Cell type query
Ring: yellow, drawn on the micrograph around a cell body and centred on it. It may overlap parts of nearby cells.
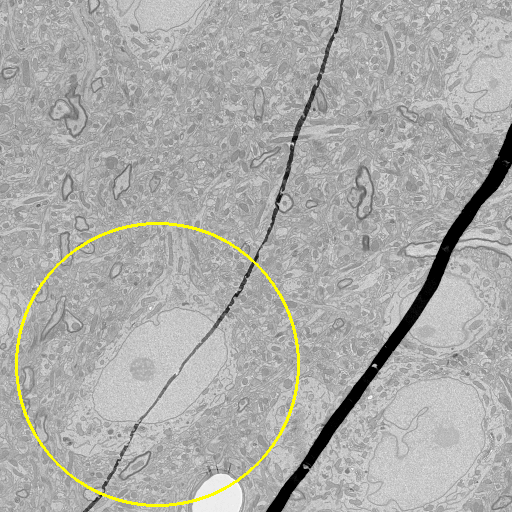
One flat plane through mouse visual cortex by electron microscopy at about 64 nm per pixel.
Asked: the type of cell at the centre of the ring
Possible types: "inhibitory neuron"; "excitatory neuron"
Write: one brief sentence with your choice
The ring marks an excitatory neuron.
